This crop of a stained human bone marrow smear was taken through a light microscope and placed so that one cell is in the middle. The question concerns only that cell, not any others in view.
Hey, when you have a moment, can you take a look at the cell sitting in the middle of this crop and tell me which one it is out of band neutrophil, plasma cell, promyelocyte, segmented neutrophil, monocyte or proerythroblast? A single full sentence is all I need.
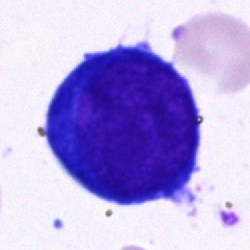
Answering briefly, the cell in the middle is a proerythroblast.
